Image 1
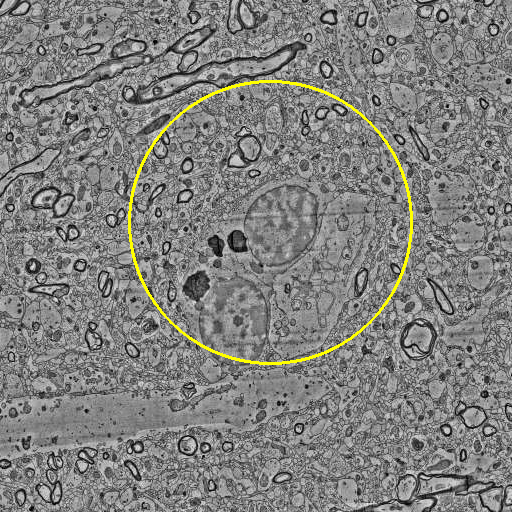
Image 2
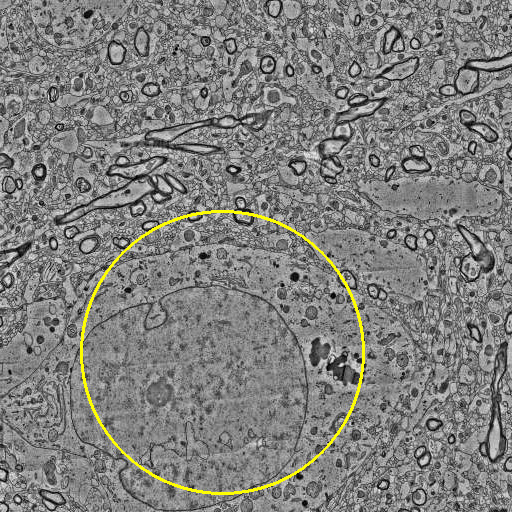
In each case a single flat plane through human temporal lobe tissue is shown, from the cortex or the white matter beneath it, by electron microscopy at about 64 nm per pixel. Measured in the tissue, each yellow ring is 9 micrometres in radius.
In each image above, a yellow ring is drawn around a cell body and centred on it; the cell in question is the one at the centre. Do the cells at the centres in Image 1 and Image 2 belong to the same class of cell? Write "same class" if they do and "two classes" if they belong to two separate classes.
two classes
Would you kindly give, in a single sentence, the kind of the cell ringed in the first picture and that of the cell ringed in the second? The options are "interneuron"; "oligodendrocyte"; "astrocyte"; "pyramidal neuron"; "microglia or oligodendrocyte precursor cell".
The second cell is a pyramidal neuron, and the first cell is an oligodendrocyte.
